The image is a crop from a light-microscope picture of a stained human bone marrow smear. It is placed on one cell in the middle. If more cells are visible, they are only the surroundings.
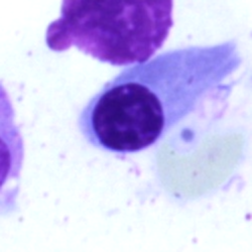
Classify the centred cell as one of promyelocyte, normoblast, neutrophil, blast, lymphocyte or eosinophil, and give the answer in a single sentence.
The crop shows a normoblast in its centre.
